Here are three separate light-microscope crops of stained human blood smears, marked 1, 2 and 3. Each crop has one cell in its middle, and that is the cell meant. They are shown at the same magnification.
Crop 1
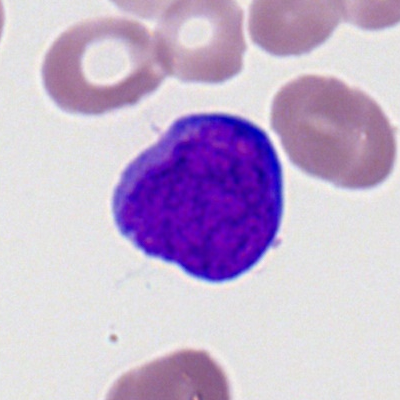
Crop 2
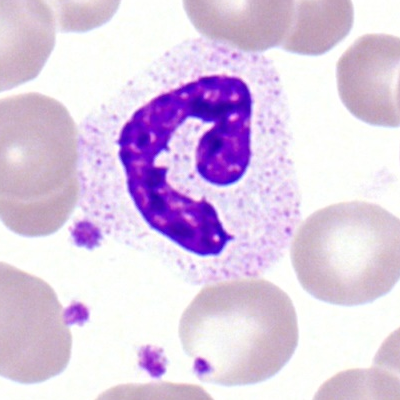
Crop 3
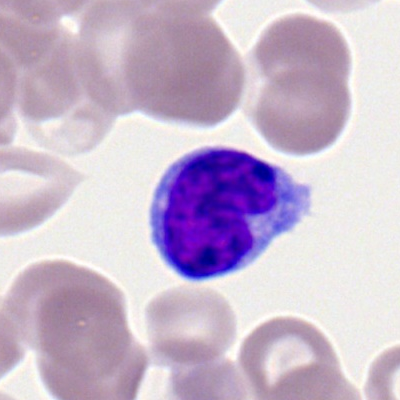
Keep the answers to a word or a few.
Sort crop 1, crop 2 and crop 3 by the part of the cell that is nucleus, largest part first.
1, 3, 2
